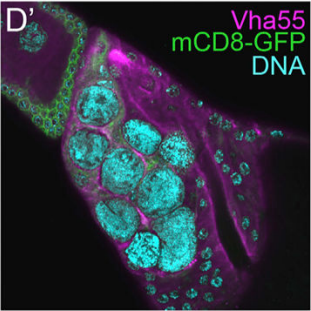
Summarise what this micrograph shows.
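The anterior end of an egg chamber is shown, with a cluster of very large round nurse cells carrying big cyan nuclei with speckled chromatin. Thin magenta lines outline each of these large cells, tracing the thin stretched cell layer that wraps around them. Around the edges small cells with small cyan nuclei are packed in a layer, and a bright magenta spot sits at the upper tip of the cluster.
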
